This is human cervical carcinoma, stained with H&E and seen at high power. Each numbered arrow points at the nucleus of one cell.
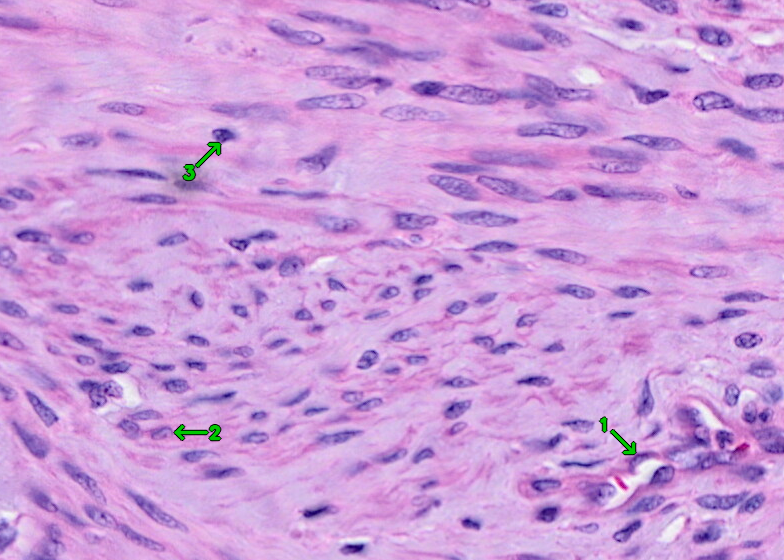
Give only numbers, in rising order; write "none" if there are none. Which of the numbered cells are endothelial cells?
1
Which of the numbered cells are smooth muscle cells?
2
